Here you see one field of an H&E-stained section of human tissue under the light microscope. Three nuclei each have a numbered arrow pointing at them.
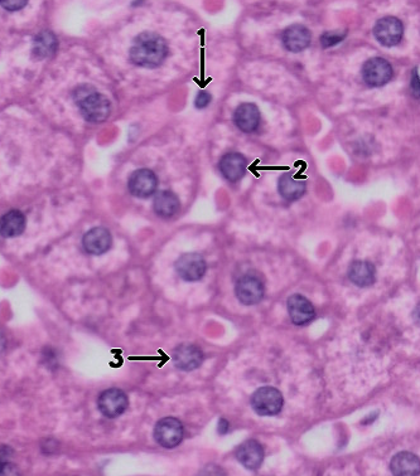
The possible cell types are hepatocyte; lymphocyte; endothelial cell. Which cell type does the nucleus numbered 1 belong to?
lymphocyte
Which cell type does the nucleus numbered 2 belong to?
hepatocyte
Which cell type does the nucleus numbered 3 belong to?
hepatocyte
